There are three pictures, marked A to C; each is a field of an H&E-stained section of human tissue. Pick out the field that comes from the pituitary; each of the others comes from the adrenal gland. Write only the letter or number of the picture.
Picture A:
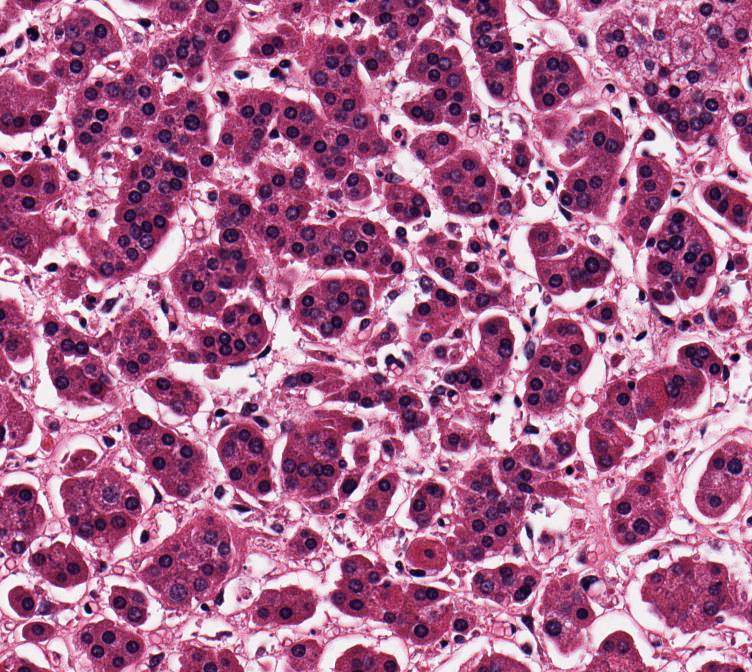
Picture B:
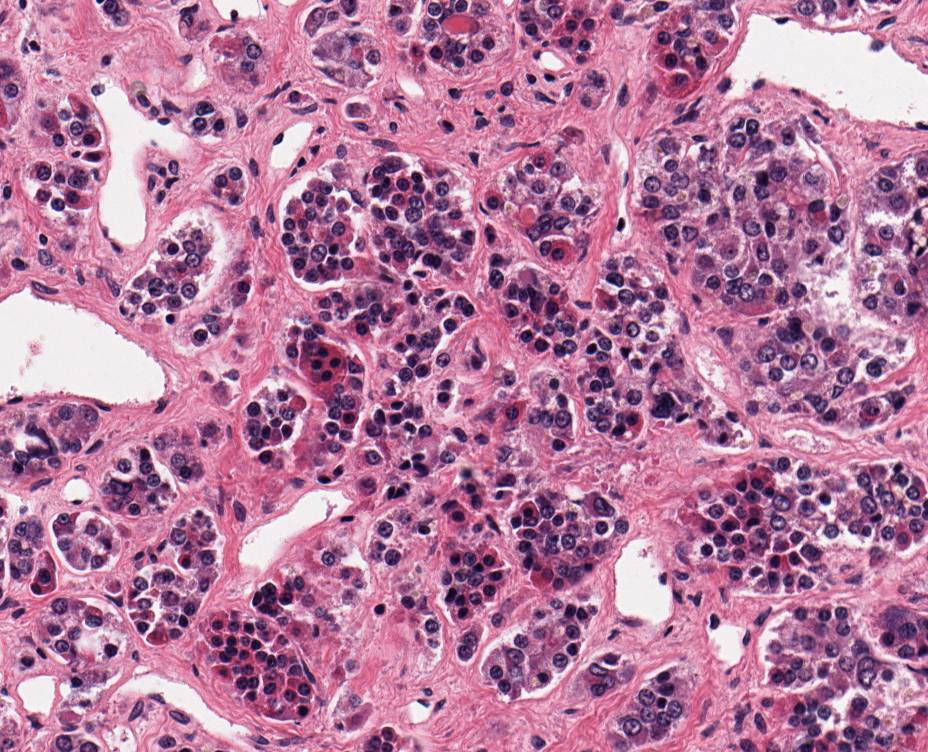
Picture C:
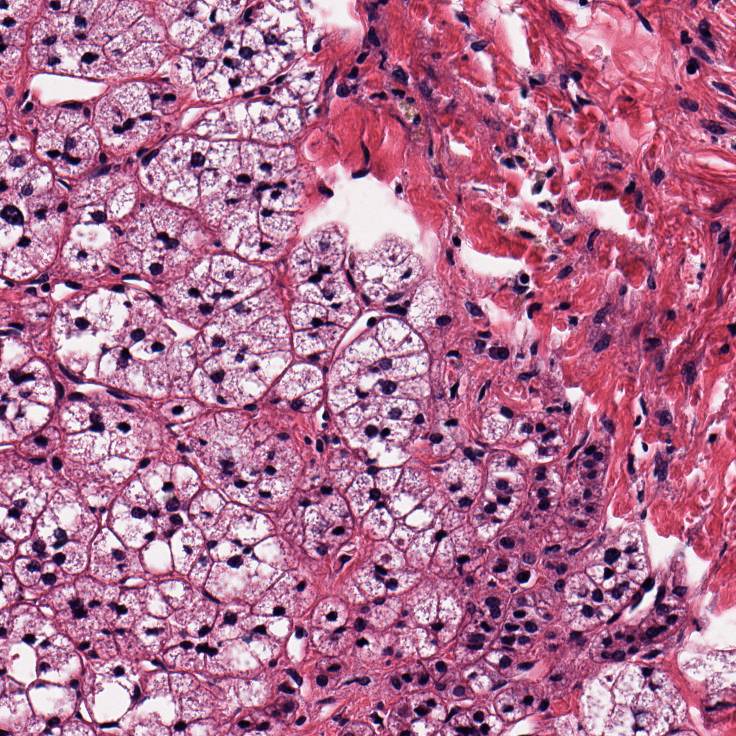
B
